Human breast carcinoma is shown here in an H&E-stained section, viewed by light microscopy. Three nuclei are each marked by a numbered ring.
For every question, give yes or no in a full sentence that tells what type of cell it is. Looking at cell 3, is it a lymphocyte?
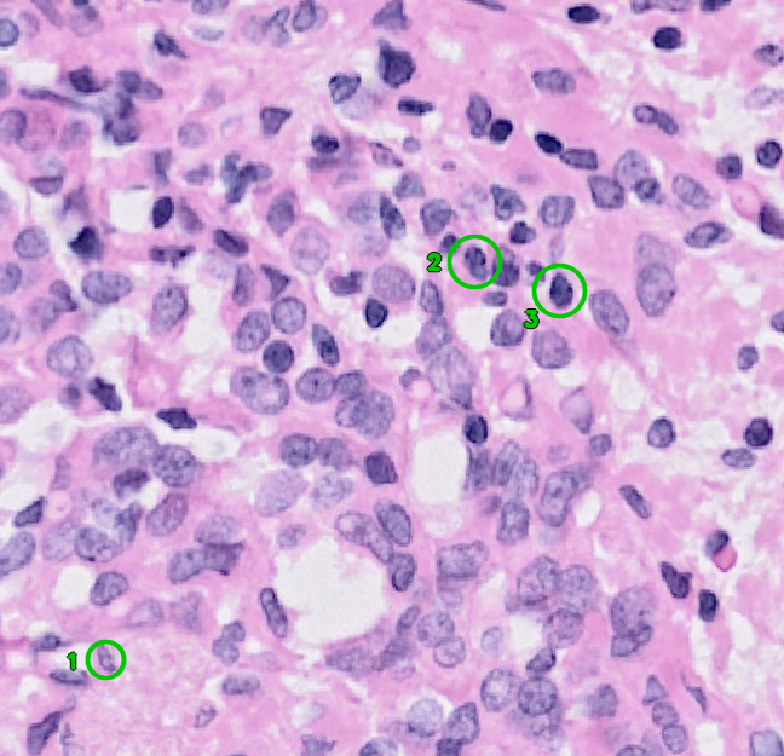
Yes, the cell pointed out as number 3 is a lymphocyte.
